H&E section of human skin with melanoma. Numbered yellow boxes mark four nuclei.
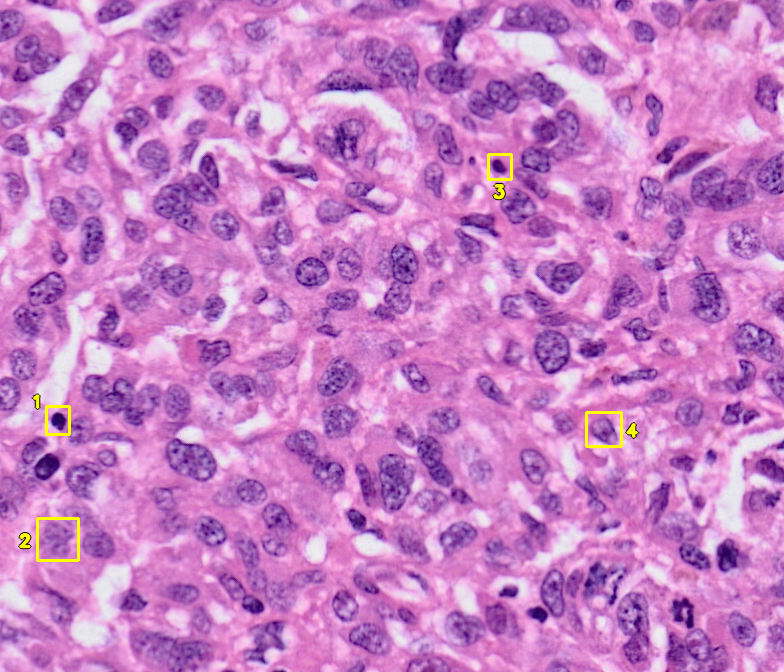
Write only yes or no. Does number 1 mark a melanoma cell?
no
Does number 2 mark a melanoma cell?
yes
